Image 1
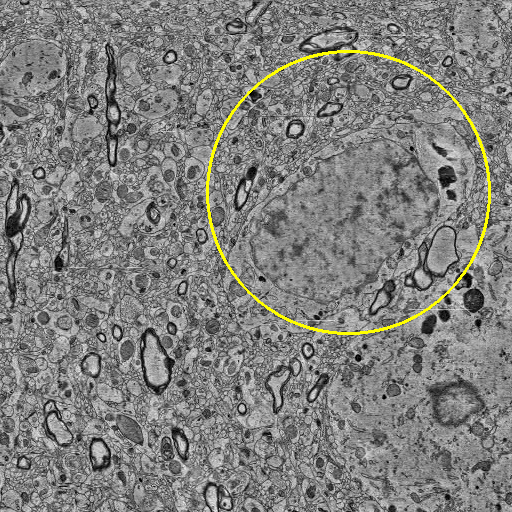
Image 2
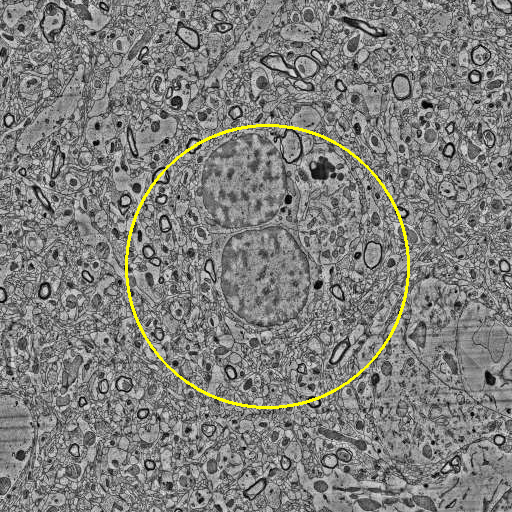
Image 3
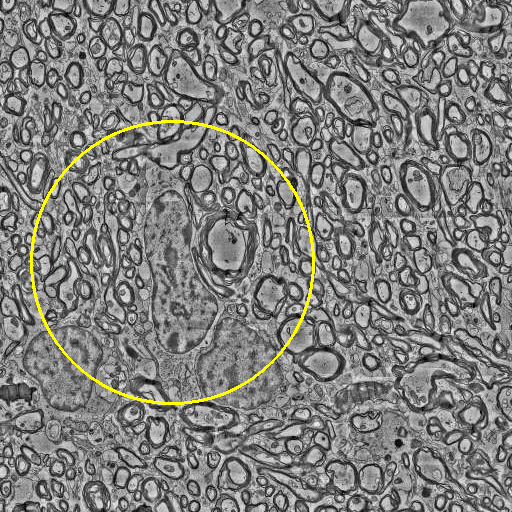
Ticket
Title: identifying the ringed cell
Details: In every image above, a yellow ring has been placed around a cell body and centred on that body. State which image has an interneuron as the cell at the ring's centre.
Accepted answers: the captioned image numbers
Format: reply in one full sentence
The ring in image 1 is centred on the cell in question.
